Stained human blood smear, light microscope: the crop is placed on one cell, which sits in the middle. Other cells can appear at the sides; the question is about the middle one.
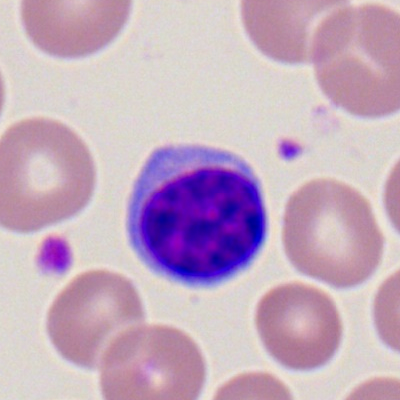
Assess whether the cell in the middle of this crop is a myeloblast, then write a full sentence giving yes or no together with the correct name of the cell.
No, the cell at the centre is a lymphocyte, which rules out a myeloblast.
